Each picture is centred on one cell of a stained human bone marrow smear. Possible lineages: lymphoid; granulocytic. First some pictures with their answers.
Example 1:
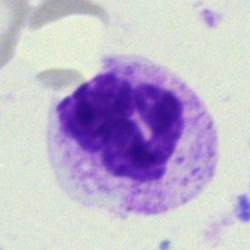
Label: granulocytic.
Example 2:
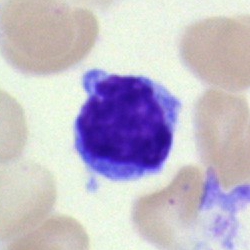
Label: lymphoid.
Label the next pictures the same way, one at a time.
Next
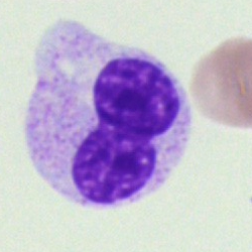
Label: granulocytic.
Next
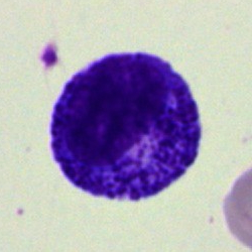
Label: granulocytic.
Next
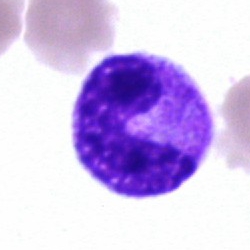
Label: granulocytic.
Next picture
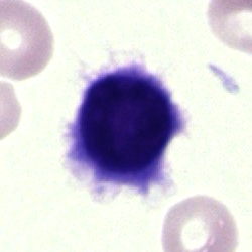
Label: lymphoid.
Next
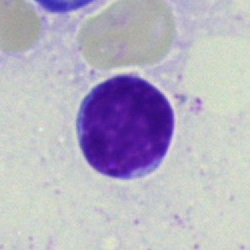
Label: lymphoid.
